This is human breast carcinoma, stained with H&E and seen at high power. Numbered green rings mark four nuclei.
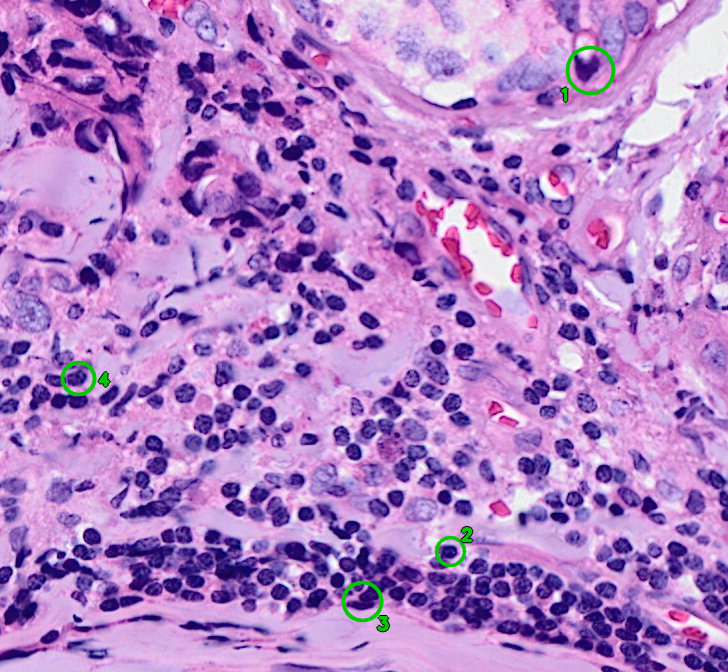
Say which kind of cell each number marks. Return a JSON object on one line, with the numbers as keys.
{"1": "carcinoma cell", "2": "lymphocyte", "3": "lymphocyte", "4": "lymphocyte"}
